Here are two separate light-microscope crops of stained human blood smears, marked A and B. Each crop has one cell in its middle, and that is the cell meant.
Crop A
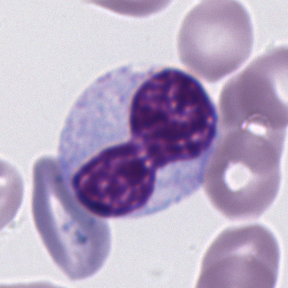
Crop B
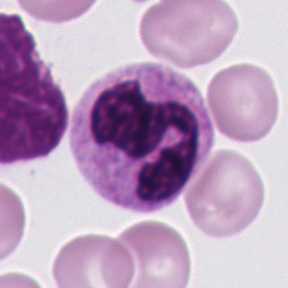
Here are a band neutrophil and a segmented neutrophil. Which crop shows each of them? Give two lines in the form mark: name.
A: band neutrophil
B: segmented neutrophil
